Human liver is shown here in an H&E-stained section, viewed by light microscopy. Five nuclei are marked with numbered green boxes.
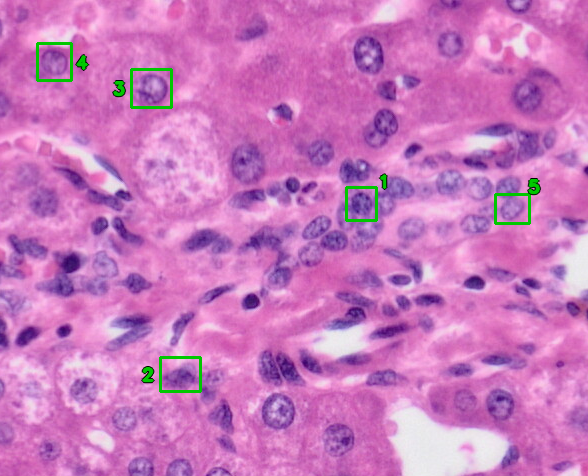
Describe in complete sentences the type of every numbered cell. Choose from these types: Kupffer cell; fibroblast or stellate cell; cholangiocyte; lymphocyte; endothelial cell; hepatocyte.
Cells 1 and 5 are cholangiocytes. Cell 2 is a fibroblast or stellate cell. Cells 3 and 4 are hepatocytes.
